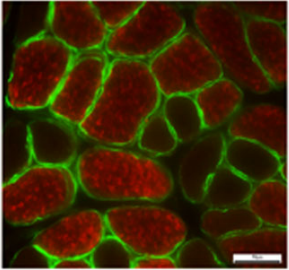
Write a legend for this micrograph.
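This is a cross-section of skeletal muscle, with the myofibers cut across so that each appears as a rounded-polygonal profile. Every fiber is bordered by a thin, continuous green outline, and the fibers are packed closely with only narrow gaps between them. Many of the fibers are filled with a speckled, granular red, while others in between are dark and unstained. The red-filled fibers tend to be the larger profiles in the field, and the dark ones are scattered among them as a mosaic.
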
